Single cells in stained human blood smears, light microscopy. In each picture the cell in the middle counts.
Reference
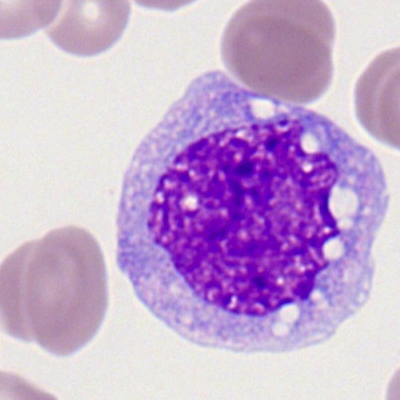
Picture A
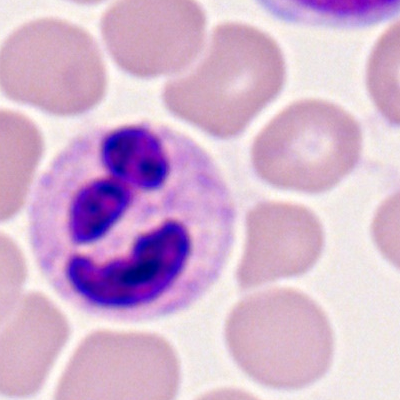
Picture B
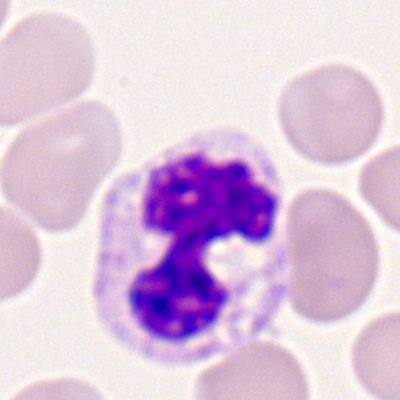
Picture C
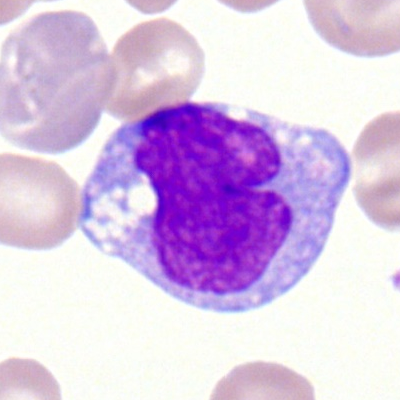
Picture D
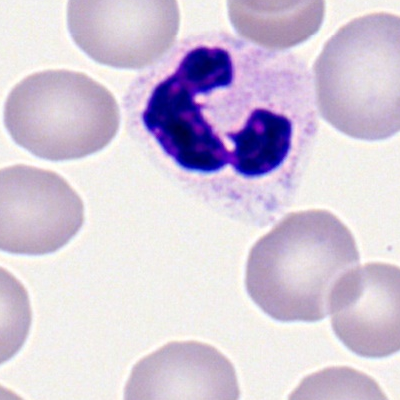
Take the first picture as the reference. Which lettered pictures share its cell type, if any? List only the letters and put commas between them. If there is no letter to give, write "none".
C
